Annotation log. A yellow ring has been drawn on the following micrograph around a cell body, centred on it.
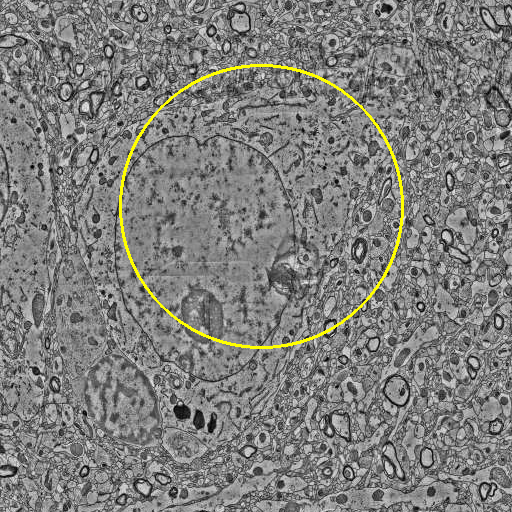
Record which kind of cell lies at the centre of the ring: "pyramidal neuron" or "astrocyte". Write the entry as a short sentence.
The cell the ring is centred on is a pyramidal neuron.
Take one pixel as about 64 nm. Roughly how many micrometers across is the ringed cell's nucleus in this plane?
The nucleus comes to roughly 16 by 12 micrometres in this plane.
